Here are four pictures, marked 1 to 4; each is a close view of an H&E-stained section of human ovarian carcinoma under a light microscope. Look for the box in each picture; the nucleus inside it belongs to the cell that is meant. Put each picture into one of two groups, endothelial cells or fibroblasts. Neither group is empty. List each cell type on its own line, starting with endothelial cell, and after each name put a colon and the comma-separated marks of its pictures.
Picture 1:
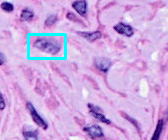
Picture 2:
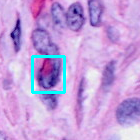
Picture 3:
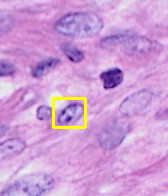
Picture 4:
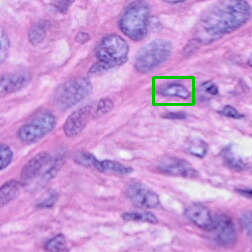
endothelial cell: 2
fibroblast: 1, 3, 4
